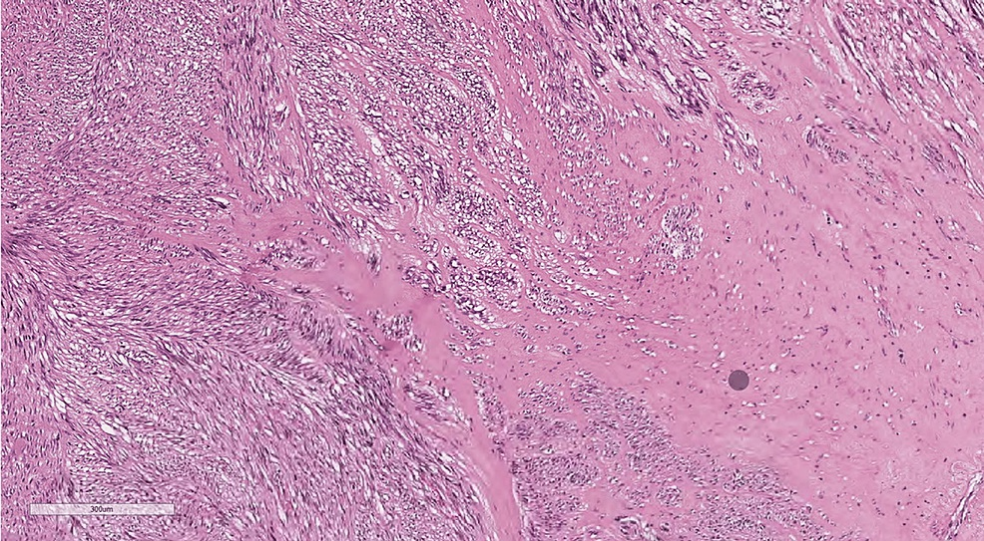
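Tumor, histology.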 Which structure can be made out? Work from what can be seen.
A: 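Elongated cells lie in long bundles that run in different directions. Bundles sweep across the left half of the field.
Conclusion: fascicles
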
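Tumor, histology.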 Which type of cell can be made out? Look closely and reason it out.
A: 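Many nuclei are long and slender. Cytoplasm is pink. Cells lie parallel to one another in bundles. So: spindle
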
